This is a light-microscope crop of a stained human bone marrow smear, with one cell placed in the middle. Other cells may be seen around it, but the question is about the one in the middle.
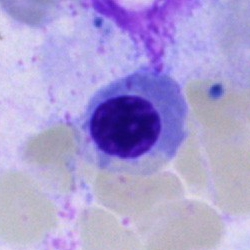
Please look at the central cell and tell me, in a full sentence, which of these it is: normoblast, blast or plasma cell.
In the centre of this crop there is a normoblast.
